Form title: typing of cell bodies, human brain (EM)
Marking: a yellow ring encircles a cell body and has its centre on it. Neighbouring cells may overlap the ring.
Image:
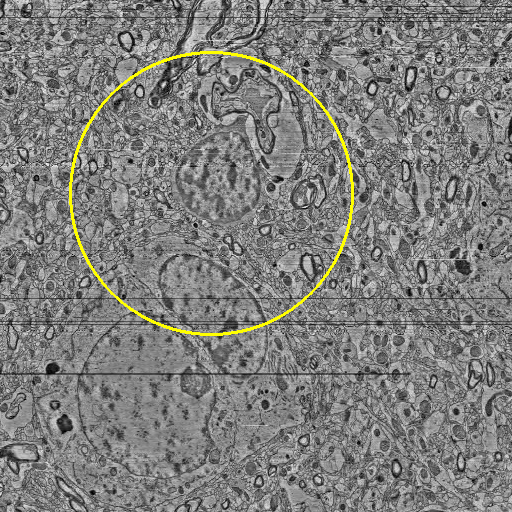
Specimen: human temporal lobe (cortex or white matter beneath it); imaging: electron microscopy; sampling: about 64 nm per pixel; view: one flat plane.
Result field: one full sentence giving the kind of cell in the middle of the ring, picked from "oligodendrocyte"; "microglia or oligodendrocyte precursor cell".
In the picture, the ring is centred on an oligodendrocyte, whose cell body it encircles.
